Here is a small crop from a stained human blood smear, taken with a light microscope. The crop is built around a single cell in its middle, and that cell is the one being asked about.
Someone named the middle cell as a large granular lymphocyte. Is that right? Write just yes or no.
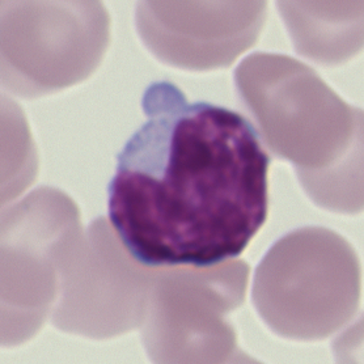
yes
